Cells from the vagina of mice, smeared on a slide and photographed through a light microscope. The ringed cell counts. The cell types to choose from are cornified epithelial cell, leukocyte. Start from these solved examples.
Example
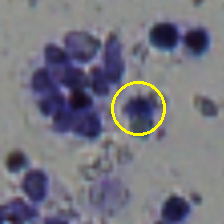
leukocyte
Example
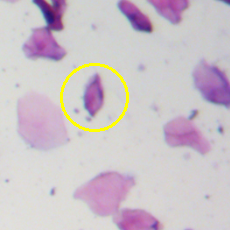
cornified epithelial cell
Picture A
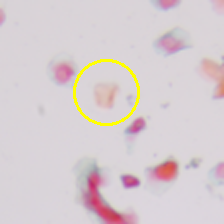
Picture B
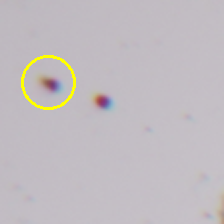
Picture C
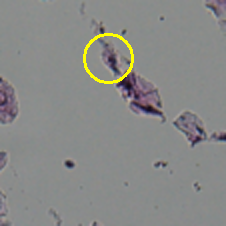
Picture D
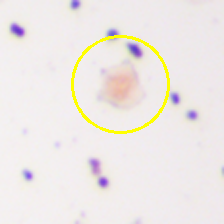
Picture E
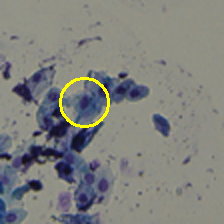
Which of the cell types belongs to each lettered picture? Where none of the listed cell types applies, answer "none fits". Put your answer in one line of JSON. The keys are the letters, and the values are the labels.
{"A": "cornified epithelial cell", "B": "leukocyte", "C": "cornified epithelial cell", "D": "cornified epithelial cell", "E": "none fits"}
